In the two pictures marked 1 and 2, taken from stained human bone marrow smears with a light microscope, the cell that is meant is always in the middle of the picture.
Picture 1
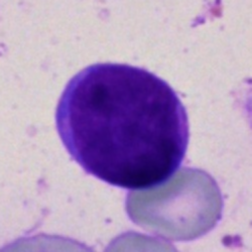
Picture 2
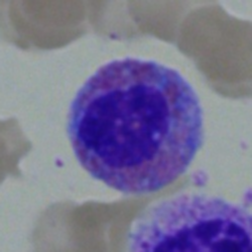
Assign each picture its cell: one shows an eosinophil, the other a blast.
1: blast
2: eosinophil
